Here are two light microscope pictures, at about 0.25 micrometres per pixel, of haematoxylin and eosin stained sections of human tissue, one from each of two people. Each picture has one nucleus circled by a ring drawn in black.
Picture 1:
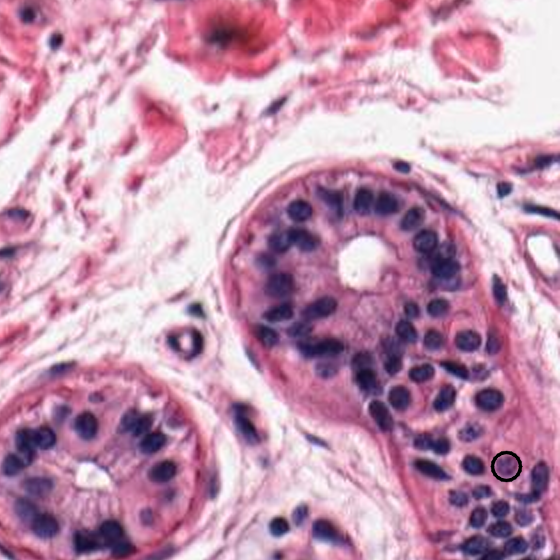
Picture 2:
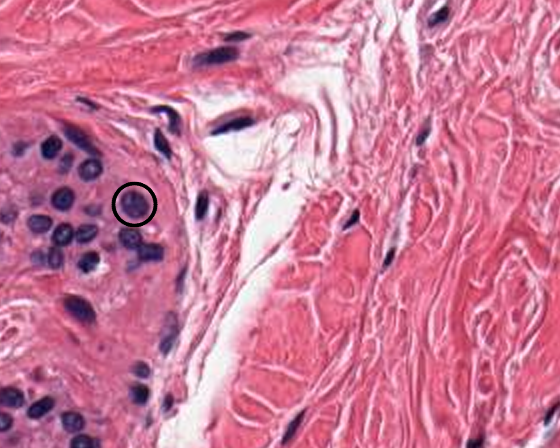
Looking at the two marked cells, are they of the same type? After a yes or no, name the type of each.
Yes, both are sweat gland cells.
